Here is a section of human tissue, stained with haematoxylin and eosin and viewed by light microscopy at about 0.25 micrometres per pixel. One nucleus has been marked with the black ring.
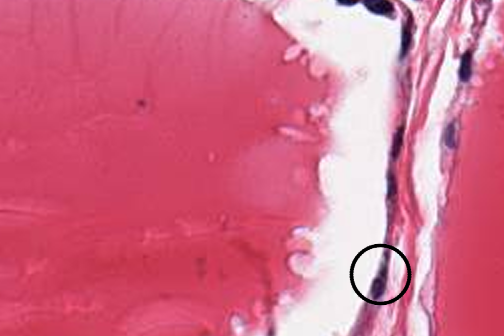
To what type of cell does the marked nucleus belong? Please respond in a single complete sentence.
Within the picture, the marked nucleus belongs to a thyroid follicular cell.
